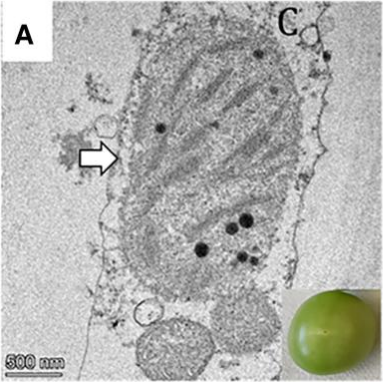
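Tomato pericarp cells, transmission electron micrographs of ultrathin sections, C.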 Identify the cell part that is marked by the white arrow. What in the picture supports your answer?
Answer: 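An oval organelle bounded by an envelope lies in the cytoplasm. Its interior holds stacks of parallel membranes running along its length. Small dark round globules lie among the membranes.
Conclusion: Chloroplast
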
